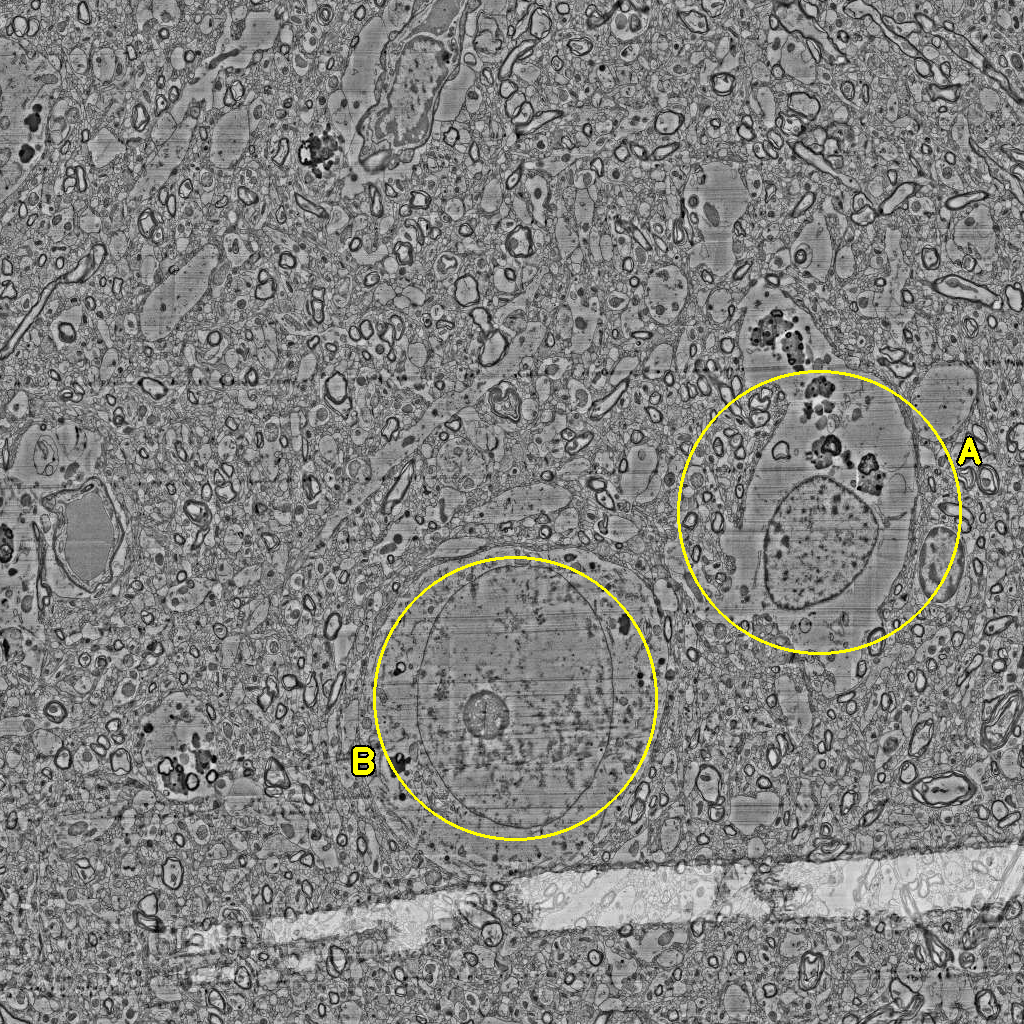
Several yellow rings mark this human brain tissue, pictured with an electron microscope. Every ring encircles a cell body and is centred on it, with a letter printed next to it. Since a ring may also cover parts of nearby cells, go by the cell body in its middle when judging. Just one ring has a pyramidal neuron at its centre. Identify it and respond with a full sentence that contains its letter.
The answer is ring B, whose centre rests on the cell asked for.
